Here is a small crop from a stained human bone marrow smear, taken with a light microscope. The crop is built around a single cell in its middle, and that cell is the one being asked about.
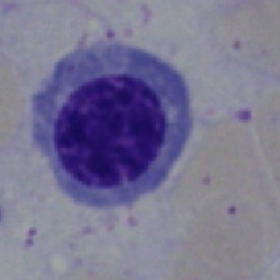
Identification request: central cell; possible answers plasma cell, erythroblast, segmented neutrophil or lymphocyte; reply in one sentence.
By classification, the middle cell of this crop is an erythroblast.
